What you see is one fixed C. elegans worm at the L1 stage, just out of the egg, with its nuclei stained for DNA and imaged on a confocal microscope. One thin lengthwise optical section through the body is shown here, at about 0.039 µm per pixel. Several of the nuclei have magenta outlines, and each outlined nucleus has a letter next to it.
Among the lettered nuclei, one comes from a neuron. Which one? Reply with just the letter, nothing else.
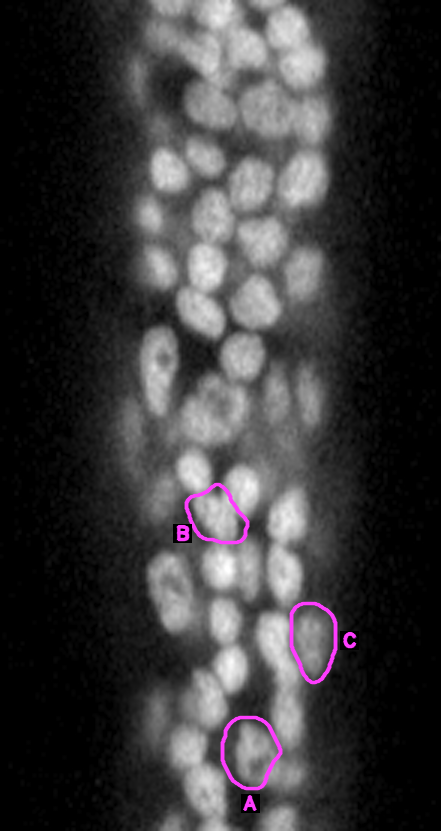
B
